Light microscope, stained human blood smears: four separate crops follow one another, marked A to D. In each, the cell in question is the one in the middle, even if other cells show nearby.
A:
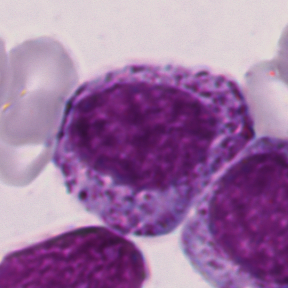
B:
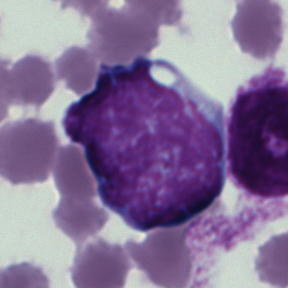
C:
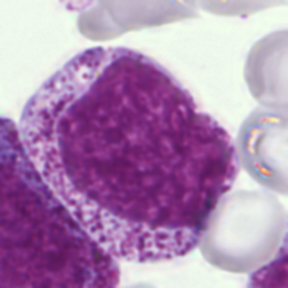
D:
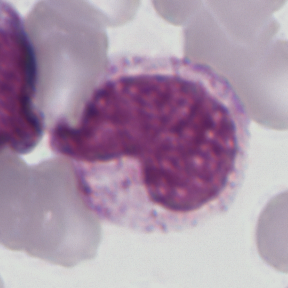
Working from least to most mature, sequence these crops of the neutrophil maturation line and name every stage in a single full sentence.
The maturation sequence, from earliest to latest, is crop B (a myeloblast), crop C (a promyelocyte), crop A (a myelocyte) and crop D (a band neutrophil).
